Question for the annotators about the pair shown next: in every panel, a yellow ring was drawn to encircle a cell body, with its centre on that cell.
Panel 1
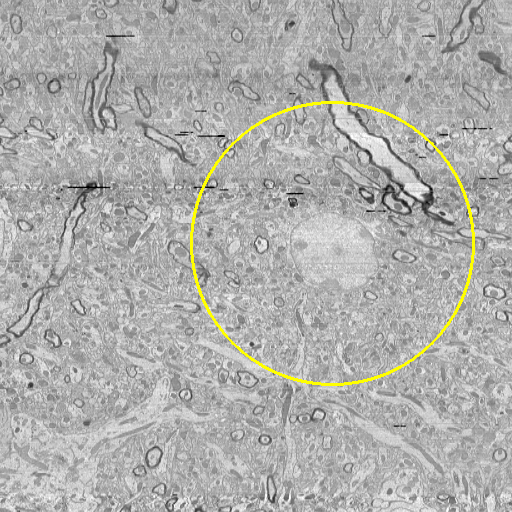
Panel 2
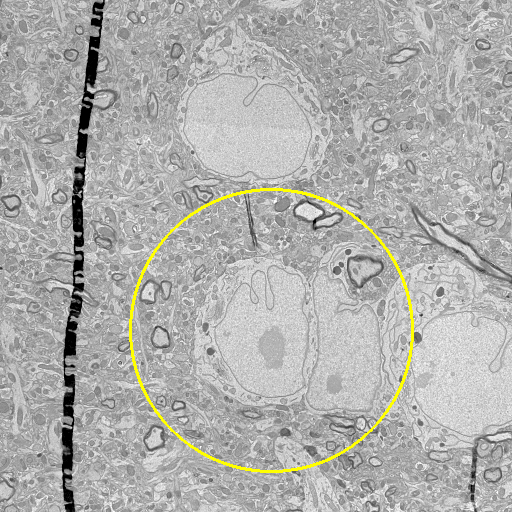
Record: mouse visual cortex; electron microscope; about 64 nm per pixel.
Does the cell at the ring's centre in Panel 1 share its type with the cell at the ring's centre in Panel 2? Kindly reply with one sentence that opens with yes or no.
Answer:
No, in Panels 1 and 2 the cells at the ring centres belong to separate types.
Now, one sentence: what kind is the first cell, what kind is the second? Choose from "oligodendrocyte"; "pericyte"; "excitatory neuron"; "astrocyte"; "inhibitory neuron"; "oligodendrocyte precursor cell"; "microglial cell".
The first picture has an astrocyte at its ring centre, and the second has an excitatory neuron.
